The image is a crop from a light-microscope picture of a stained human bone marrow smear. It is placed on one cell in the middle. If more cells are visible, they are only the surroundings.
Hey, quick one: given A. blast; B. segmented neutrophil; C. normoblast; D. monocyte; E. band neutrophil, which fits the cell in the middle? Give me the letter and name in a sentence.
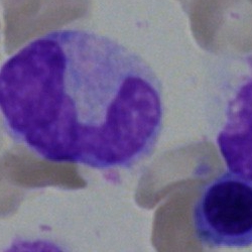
The cell right in the middle is a monocyte, so option D is the one.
